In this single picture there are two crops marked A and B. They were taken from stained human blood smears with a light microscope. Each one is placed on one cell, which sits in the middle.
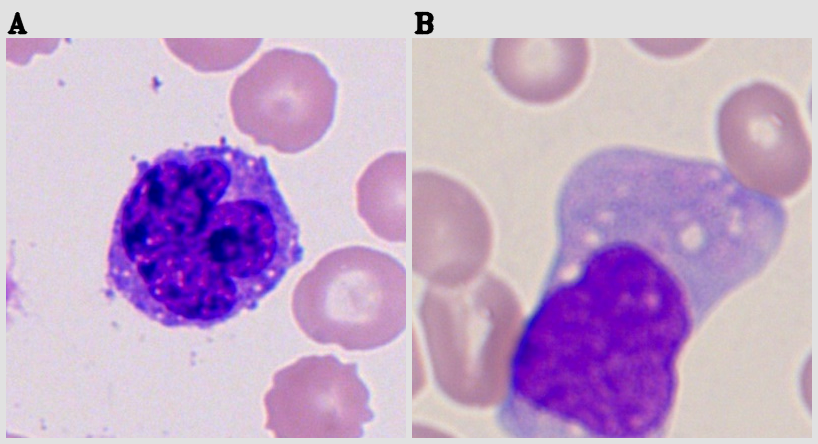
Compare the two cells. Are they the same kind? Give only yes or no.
yes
